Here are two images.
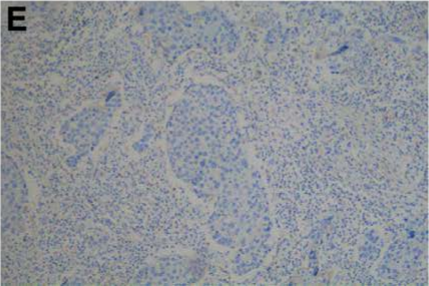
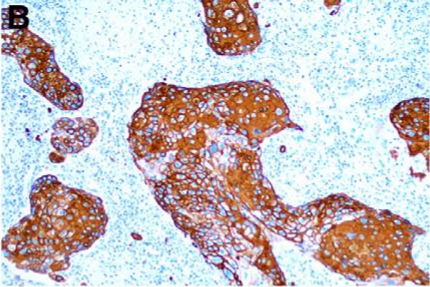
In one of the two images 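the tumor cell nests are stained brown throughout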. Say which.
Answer: The second image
